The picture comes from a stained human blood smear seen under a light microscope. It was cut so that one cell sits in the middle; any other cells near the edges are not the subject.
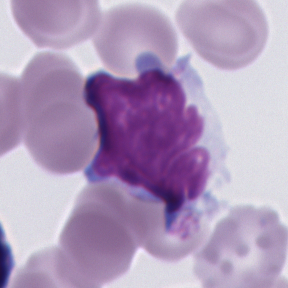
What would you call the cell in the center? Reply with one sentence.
The central cell in this smear crop is a large granular lymphocyte.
